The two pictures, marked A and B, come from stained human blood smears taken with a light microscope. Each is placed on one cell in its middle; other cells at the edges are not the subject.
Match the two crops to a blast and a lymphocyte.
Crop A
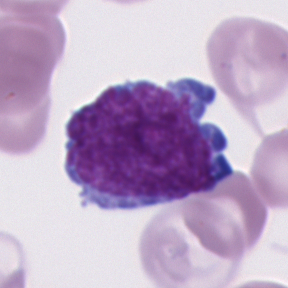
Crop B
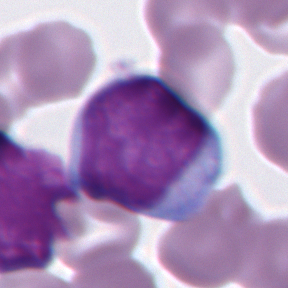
A: blast
B: lymphocyte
